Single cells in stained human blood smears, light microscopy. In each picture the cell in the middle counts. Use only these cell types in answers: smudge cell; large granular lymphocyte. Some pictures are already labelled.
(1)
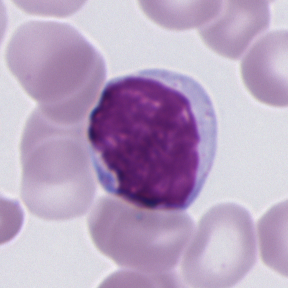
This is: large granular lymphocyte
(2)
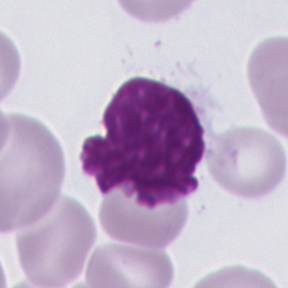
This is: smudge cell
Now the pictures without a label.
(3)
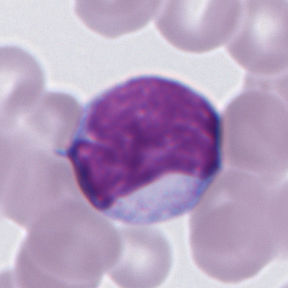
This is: large granular lymphocyte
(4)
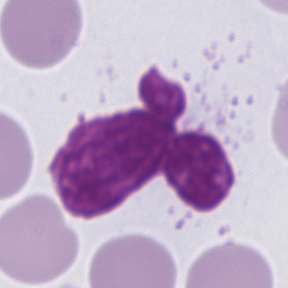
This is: smudge cell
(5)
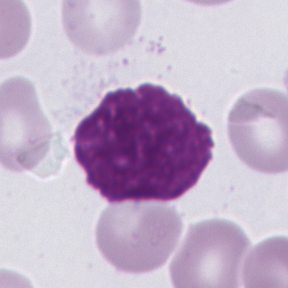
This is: smudge cell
